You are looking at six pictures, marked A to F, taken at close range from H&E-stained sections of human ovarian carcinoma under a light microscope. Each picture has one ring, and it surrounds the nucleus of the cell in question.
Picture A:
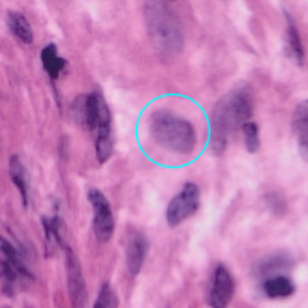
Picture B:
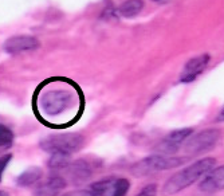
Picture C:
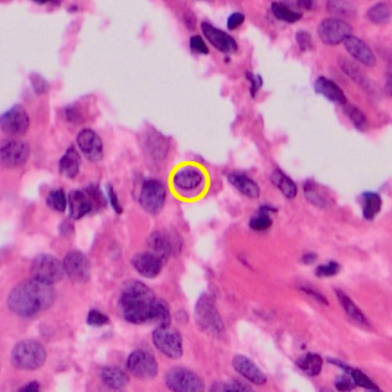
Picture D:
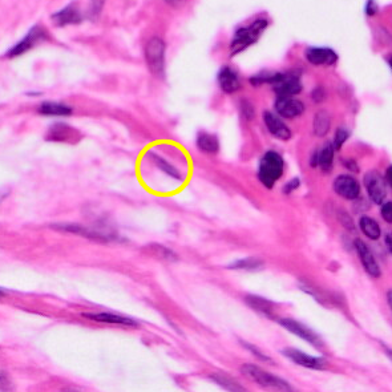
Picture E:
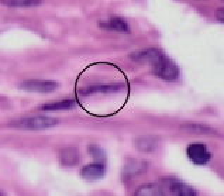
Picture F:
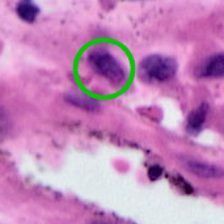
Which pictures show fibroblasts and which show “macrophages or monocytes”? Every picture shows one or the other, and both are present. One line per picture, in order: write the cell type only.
fibroblast
macrophage or monocyte
macrophage or monocyte
fibroblast
fibroblast
fibroblast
